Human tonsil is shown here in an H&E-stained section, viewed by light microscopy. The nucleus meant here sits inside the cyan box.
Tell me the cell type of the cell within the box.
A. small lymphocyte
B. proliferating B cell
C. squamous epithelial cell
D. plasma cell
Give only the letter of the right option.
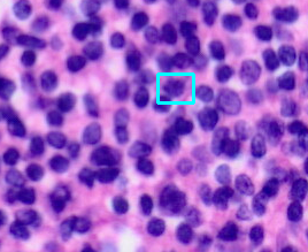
A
